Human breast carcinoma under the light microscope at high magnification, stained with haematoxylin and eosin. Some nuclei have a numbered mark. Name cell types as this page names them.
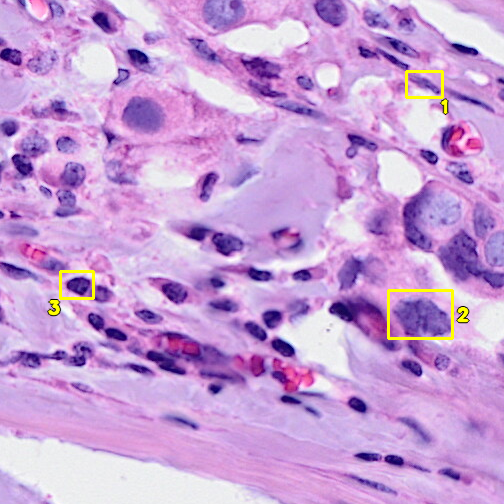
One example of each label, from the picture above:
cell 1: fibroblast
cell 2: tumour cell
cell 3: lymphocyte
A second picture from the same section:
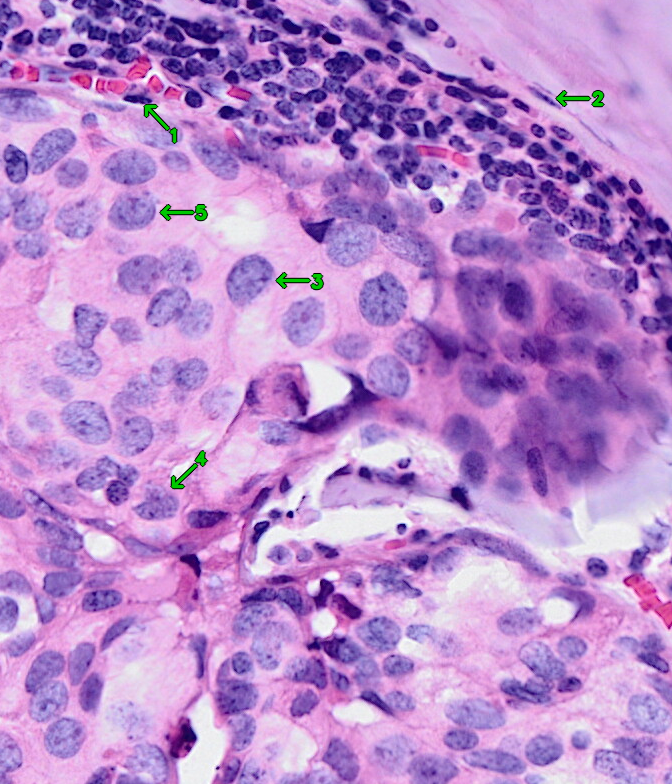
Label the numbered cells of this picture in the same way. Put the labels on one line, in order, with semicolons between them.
lymphocyte; fibroblast; tumour cell; tumour cell; tumour cell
